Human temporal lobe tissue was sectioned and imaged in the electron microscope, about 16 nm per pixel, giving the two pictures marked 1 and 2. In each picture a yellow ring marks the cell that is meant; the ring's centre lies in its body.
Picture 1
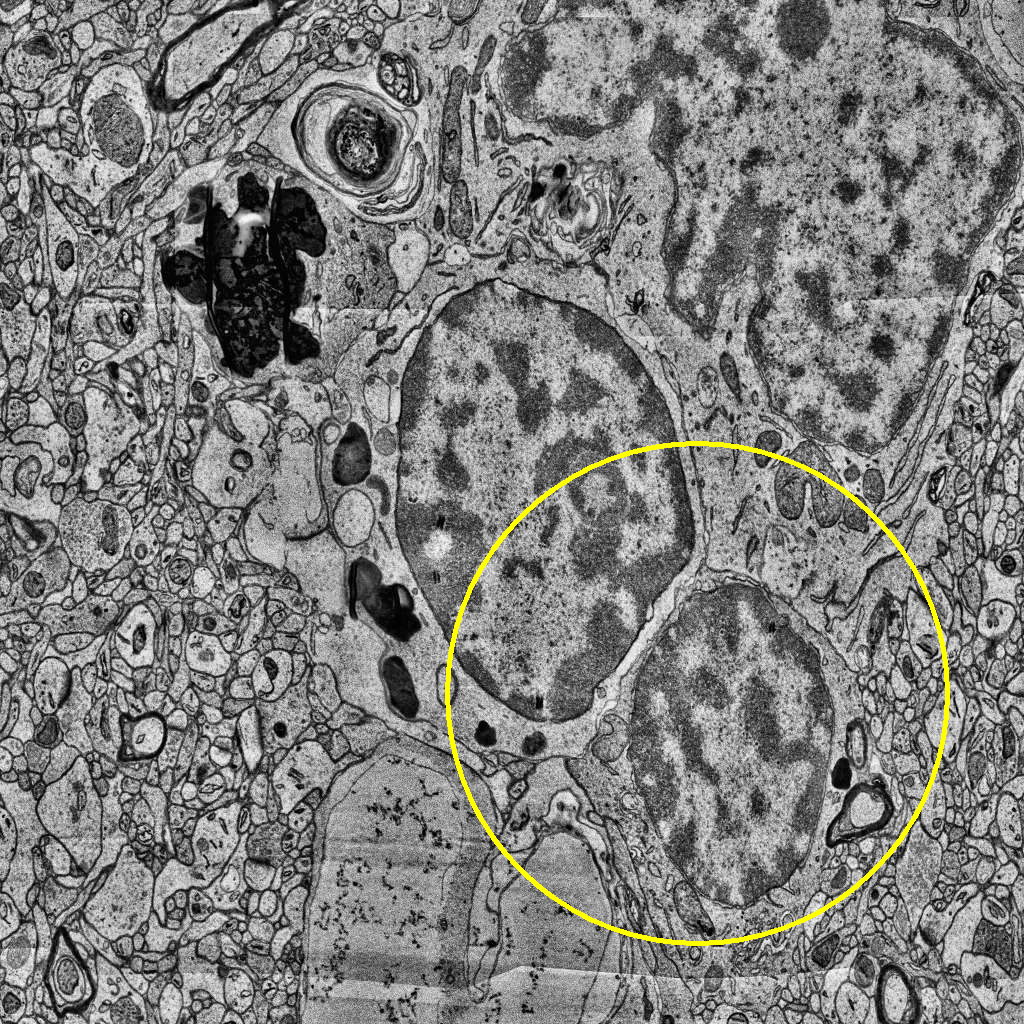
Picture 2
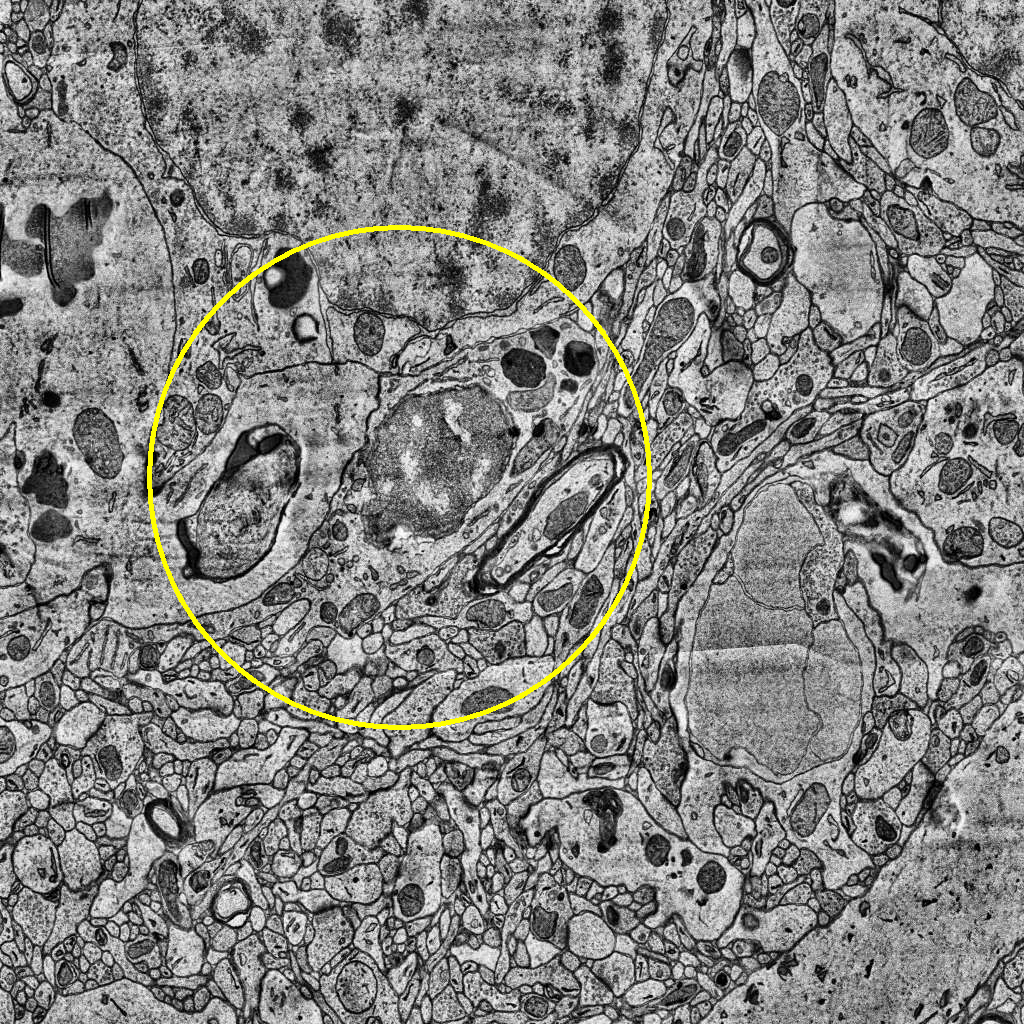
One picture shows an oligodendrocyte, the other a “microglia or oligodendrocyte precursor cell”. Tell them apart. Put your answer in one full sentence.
Picture 2 shows a “microglia or oligodendrocyte precursor cell”, while picture 1 shows an oligodendrocyte.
